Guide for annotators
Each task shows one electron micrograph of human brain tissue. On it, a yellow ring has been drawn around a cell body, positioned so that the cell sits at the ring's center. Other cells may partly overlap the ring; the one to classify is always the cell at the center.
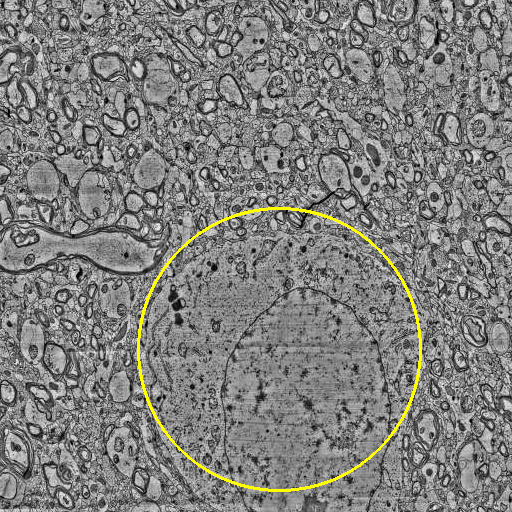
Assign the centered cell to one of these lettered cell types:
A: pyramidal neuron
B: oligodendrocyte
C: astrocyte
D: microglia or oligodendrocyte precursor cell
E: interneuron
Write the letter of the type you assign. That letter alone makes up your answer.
A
